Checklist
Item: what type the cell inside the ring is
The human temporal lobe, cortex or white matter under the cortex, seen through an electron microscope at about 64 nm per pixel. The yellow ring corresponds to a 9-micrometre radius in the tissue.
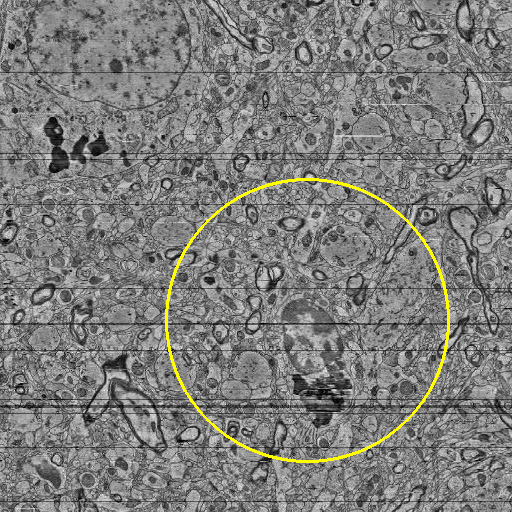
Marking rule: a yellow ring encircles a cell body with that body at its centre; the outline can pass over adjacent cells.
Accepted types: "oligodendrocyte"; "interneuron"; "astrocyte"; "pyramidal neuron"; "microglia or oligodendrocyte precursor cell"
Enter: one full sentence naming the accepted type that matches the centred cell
The entry is that a microglial cell or oligodendrocyte precursor cell lies at the centre of the yellow ring.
